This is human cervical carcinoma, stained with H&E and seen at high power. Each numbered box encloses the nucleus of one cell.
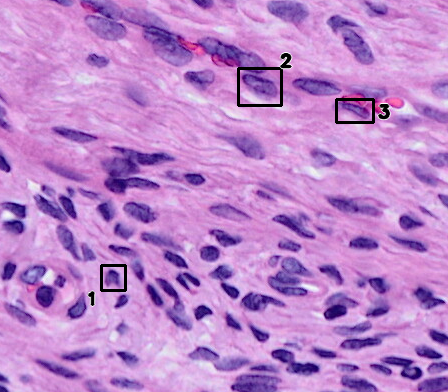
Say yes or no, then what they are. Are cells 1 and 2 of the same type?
No, the correct reading has cell 1 as a fibroblast and cell 2 as an endothelial cell.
